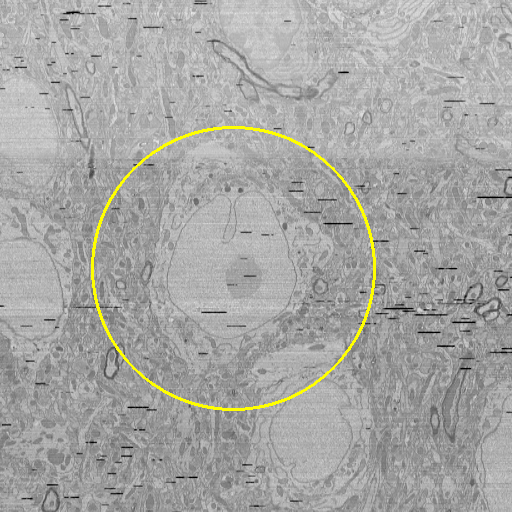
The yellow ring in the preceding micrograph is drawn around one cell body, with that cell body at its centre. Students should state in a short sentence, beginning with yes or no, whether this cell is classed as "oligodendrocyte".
No, this cell is of another type.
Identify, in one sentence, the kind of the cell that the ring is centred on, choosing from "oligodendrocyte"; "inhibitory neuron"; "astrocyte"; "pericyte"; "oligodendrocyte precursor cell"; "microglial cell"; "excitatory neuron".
Instead, the ring in this picture marks an excitatory neuron.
